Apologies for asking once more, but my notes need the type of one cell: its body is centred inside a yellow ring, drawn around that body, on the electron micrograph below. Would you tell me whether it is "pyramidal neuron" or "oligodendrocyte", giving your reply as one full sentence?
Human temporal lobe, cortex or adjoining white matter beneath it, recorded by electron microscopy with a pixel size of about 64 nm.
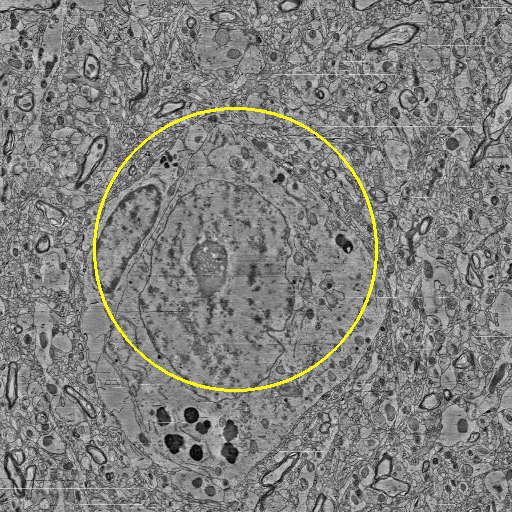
The cell that the yellow ring is centred on is a pyramidal neuron in this micrograph.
